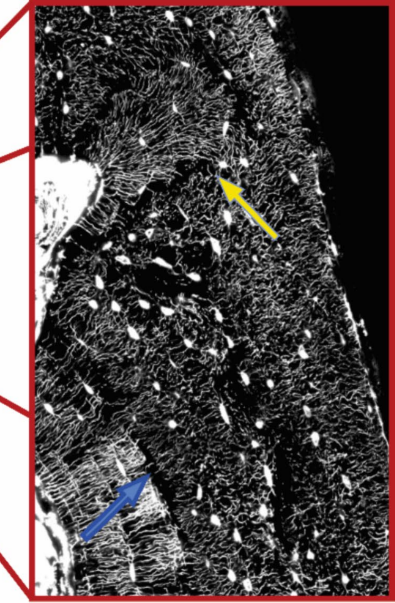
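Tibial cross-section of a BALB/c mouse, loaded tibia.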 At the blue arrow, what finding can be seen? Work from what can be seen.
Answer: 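Disruptions of the network. At the arrow the web of threads is interrupted along a line. The thread pattern changes orientation across that line.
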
